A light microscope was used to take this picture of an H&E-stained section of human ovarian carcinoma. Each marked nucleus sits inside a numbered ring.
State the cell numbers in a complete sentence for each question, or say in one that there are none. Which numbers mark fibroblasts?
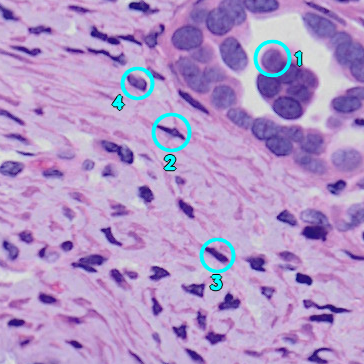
The cells given the numbers 2, 3 and 4 are fibroblasts.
